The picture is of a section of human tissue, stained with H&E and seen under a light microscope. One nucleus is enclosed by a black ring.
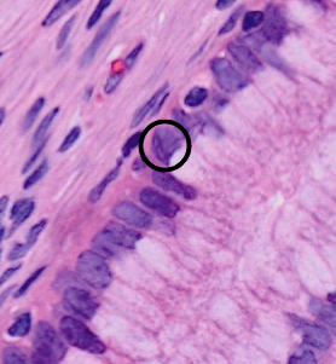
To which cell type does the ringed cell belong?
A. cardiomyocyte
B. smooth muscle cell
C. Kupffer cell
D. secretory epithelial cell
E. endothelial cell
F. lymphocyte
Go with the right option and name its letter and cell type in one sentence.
Option D correctly labels the ringed cell as a secretory epithelial cell.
